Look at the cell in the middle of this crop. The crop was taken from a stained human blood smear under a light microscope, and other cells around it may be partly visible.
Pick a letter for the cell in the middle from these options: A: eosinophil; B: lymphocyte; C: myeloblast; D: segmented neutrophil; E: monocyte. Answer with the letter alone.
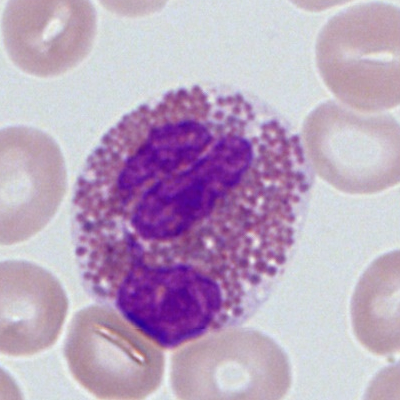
A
